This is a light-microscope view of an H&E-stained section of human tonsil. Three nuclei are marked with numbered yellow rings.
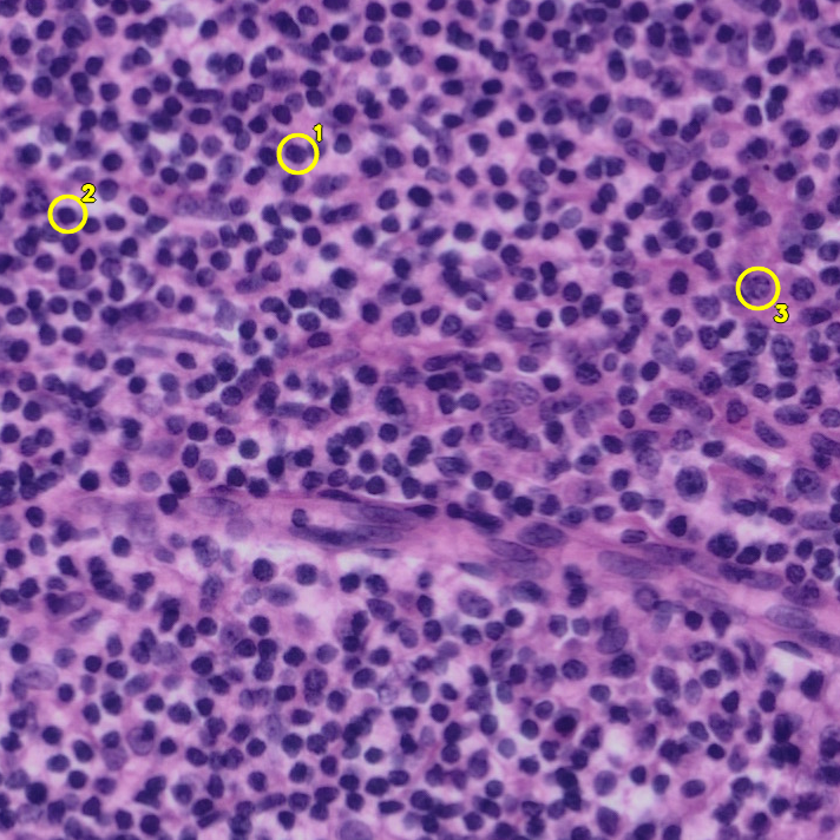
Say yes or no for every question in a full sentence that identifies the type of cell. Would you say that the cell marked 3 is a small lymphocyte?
No, cell 3 is not to be taken for a small lymphocyte; it is a plasma cell.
